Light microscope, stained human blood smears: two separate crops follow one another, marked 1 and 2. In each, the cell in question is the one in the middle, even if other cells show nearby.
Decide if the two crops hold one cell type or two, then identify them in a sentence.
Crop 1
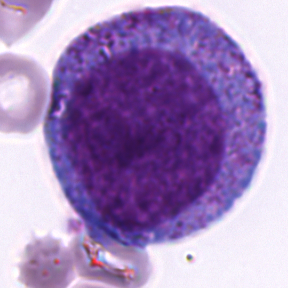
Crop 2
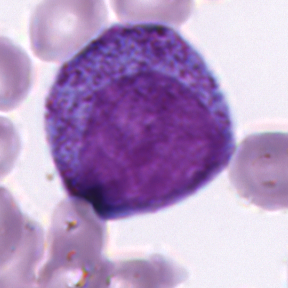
Yes, the cells at the middle of both crops are promyelocytes.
